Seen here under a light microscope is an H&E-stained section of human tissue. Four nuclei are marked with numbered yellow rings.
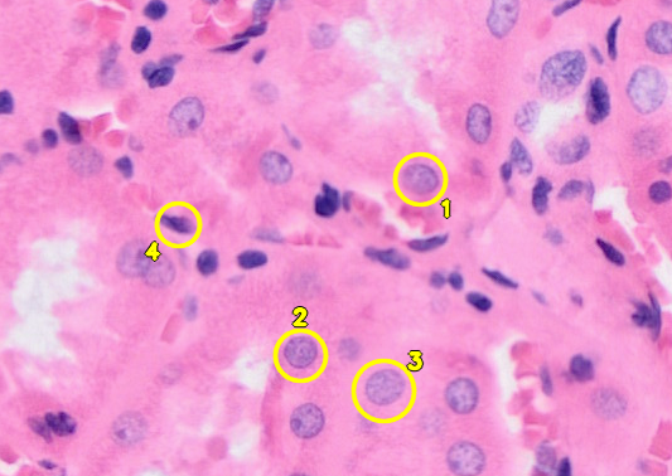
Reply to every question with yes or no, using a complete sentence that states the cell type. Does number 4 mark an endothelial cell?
Yes, the nucleus numbered 4 belongs to an endothelial cell.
